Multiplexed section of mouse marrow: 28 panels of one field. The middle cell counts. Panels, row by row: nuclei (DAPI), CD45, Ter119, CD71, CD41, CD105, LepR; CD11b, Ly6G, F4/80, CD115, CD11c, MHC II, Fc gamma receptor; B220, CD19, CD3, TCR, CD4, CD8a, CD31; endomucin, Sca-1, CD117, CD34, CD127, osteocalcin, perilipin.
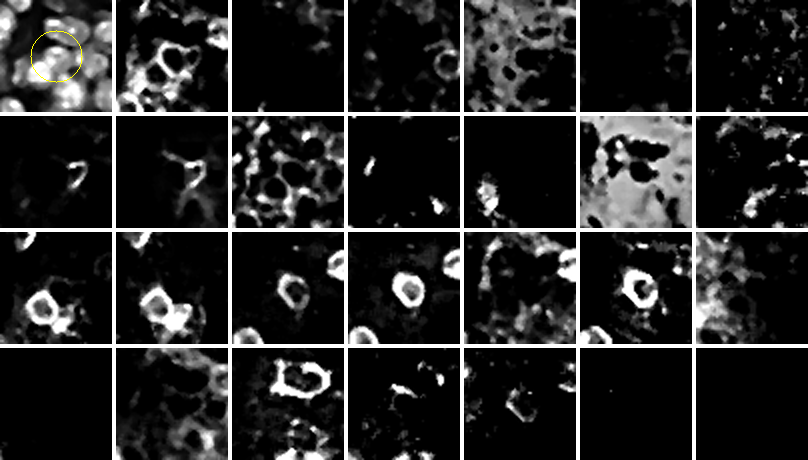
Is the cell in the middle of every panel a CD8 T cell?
Yes, it is a CD8 T cell.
